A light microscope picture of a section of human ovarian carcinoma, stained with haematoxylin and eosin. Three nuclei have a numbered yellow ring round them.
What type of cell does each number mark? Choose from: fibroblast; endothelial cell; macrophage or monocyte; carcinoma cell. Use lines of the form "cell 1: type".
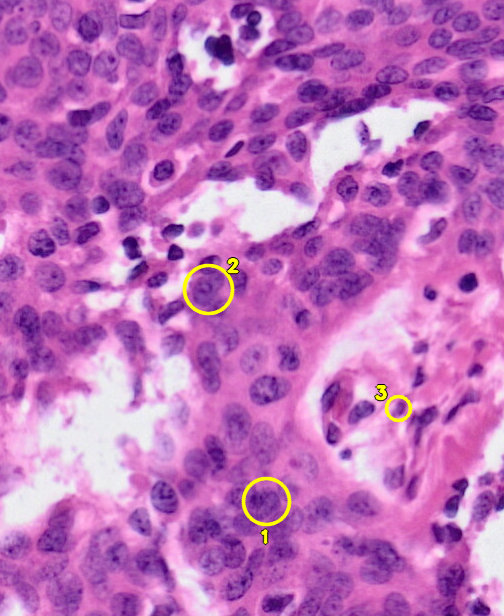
cell 1: carcinoma cell
cell 2: carcinoma cell
cell 3: fibroblast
